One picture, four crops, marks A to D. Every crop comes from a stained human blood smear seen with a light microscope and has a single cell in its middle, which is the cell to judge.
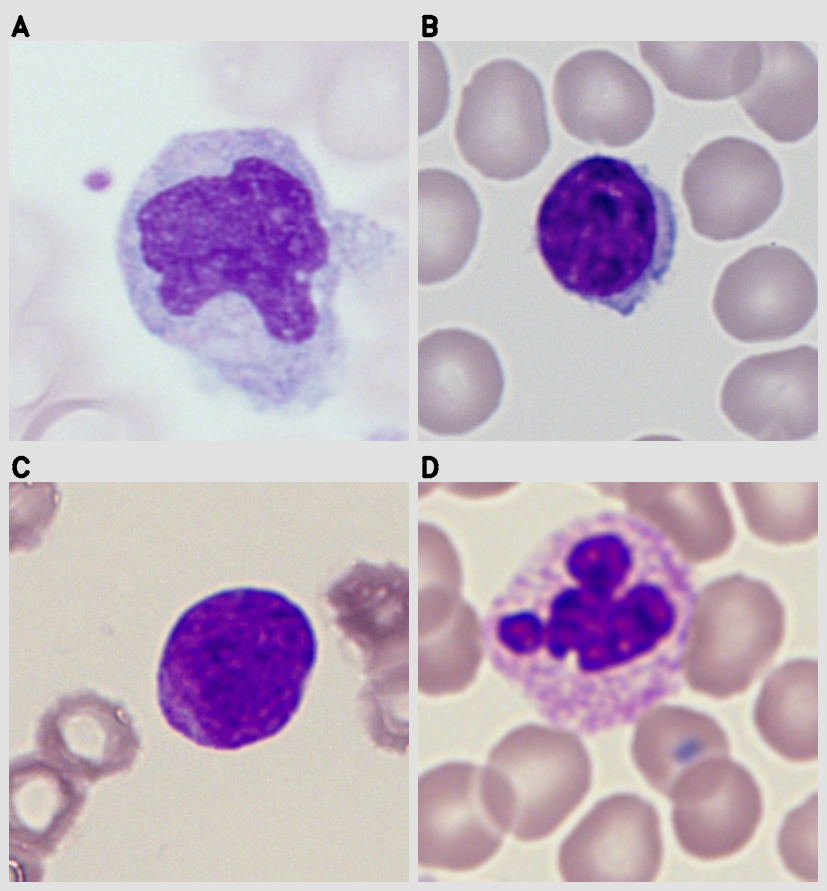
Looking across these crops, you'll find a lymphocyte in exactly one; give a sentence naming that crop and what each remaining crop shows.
The cell shown in crop B is a lymphocyte, whereas crop A is a monocyte, crop C is a blast and crop D is a neutrophil.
